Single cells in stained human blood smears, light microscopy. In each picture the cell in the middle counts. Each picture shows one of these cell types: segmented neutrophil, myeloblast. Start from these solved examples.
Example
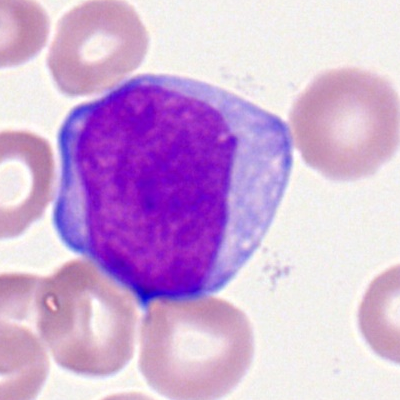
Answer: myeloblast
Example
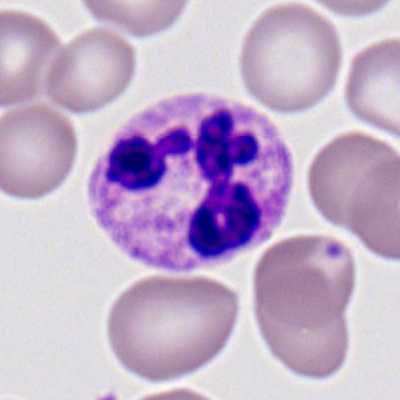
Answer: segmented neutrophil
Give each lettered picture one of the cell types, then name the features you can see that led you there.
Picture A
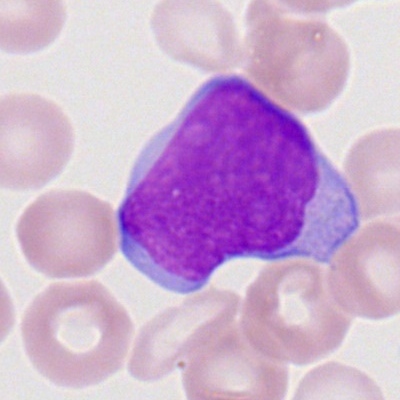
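Answer: myeloblast. The nucleus fills most of the cell.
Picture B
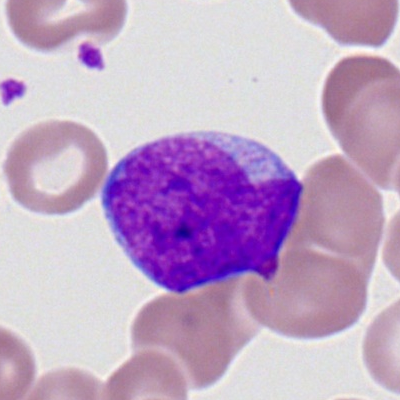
Answer: myeloblast. The nucleus fills most of the cell.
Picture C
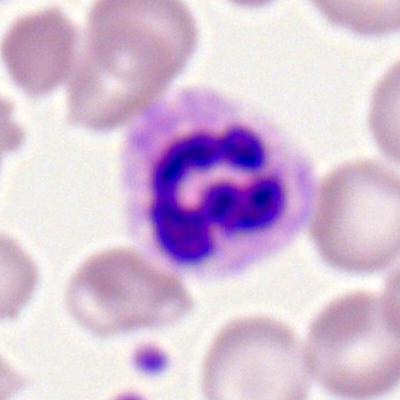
Answer: segmented neutrophil. The nucleus is divided into several lobes joined in a curved chain.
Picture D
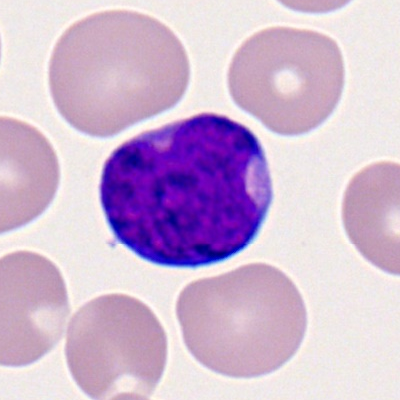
Answer: myeloblast. Cytoplasm is scant, seen only as small pale patches at the cell edge, most clearly on the right.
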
